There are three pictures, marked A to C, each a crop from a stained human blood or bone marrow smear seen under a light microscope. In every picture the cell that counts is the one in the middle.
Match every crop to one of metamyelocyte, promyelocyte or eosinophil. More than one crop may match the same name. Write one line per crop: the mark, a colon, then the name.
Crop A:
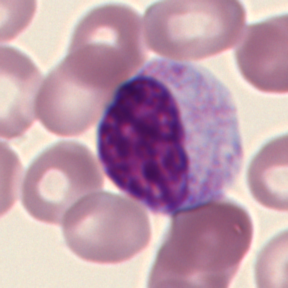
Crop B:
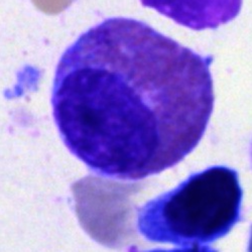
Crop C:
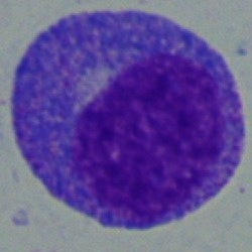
A: metamyelocyte
B: eosinophil
C: promyelocyte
